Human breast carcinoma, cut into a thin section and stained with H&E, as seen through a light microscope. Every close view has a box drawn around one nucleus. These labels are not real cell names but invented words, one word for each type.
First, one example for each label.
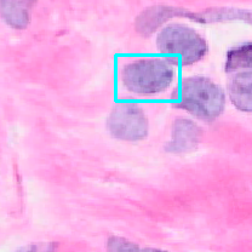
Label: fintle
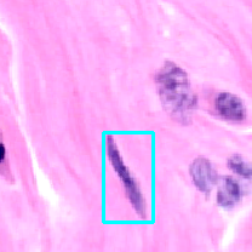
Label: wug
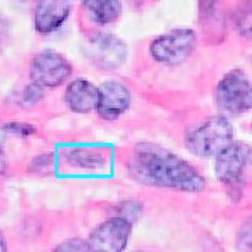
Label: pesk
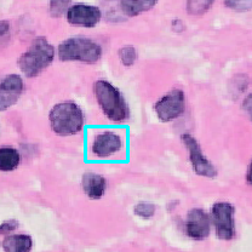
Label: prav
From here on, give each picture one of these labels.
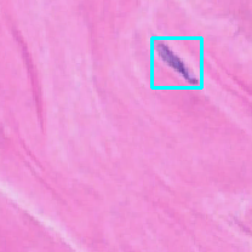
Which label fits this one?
wug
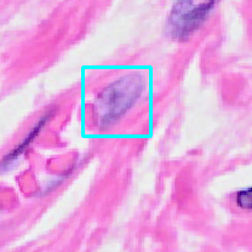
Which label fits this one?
pesk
